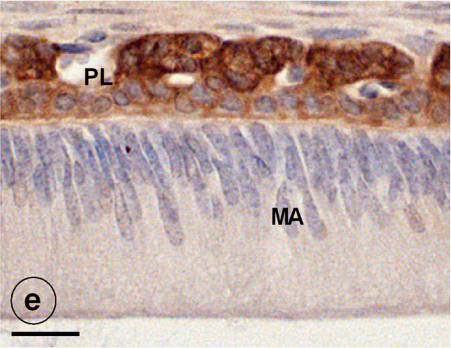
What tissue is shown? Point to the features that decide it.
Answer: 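Dental epithelium. A row of very tall, slender columnar cells lies side by side. A layer of rounded cells sits on top of the columnar layer, beneath loose connective tissue. A pale acellular band lies beyond the tall cells' ends.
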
